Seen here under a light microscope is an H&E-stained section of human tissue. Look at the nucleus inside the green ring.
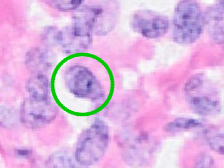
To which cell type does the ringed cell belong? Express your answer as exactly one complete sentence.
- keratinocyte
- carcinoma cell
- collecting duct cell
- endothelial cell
In the stained section, the ringed cell is a carcinoma cell.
